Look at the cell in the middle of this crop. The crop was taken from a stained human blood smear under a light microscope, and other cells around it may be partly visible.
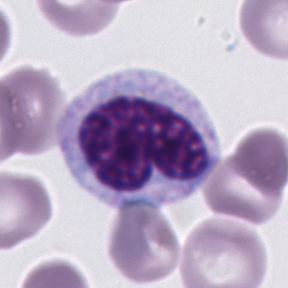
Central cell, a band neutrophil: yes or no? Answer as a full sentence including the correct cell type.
Yes, the cell at the centre is designated a band neutrophil.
